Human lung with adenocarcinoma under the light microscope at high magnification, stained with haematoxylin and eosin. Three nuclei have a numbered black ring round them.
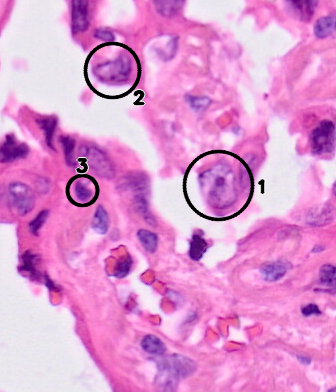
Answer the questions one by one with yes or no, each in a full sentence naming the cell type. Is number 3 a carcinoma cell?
No, the nucleus numbered 3 belongs to a lymphocyte, not a carcinoma cell.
